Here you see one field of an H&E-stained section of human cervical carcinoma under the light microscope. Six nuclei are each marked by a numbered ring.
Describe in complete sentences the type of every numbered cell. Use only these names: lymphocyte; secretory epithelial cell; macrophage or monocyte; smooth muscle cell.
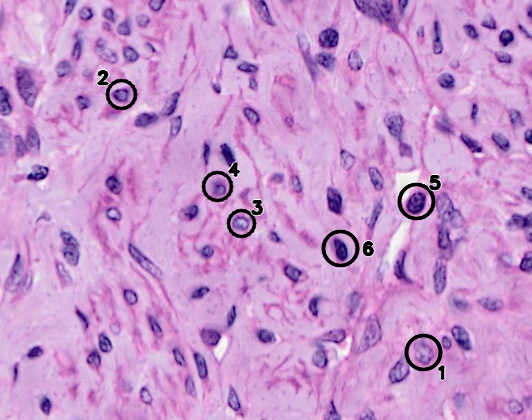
Cell 1 is a smooth muscle cell, cell 2 is a smooth muscle cell, cell 3 is a smooth muscle cell, cell 4 is a smooth muscle cell, cell 5 is a lymphocyte and cell 6 is a lymphocyte.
